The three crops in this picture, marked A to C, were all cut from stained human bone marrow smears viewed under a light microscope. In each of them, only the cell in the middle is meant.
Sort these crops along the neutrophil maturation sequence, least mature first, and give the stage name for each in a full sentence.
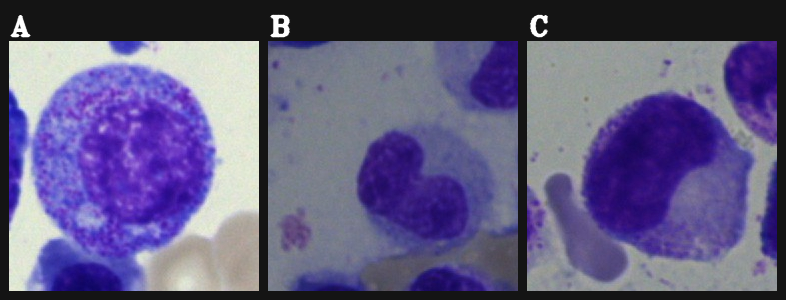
The maturation sequence, earliest to latest, reads crop A (a myelocyte), crop C (a metamyelocyte) and crop B (a band neutrophil).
